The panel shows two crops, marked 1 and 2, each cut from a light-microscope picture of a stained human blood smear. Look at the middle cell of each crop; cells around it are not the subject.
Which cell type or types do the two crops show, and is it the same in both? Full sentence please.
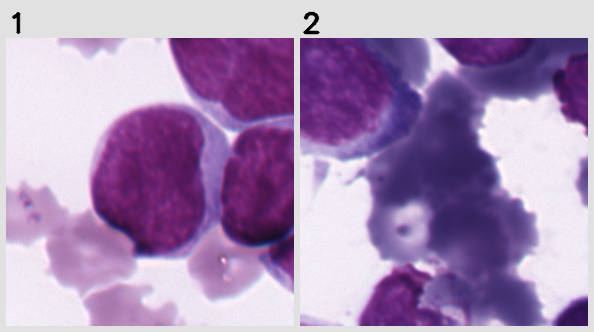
Yes, myeloblasts are the cells in the middle of both crops.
